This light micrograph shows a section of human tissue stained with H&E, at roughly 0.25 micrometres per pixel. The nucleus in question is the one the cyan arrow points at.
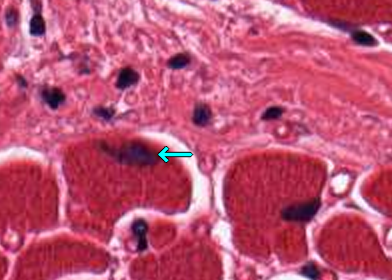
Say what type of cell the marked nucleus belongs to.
cardiomyocyte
